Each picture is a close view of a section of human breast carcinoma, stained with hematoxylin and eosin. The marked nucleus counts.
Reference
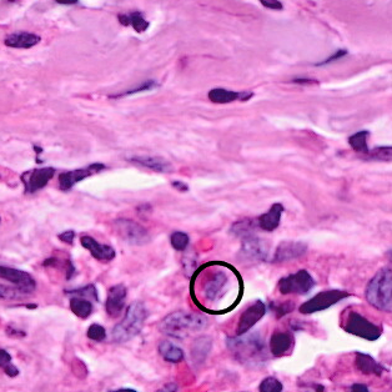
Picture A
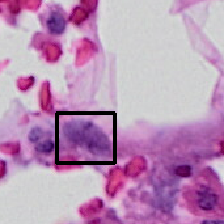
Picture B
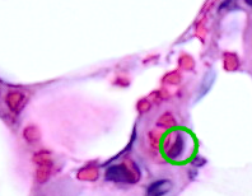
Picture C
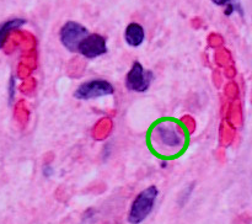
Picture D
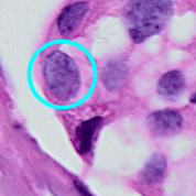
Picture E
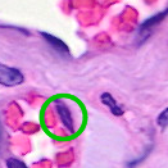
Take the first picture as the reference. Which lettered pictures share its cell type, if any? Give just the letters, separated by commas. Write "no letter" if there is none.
A, B, C, E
